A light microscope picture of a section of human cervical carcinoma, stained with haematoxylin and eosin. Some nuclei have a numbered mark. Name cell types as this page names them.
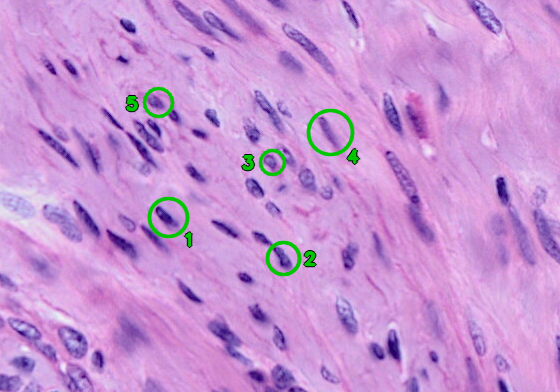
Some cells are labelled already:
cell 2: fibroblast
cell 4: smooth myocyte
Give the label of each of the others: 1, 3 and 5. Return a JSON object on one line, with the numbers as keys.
{"1": "fibroblast", "3": "smooth myocyte", "5": "smooth myocyte"}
